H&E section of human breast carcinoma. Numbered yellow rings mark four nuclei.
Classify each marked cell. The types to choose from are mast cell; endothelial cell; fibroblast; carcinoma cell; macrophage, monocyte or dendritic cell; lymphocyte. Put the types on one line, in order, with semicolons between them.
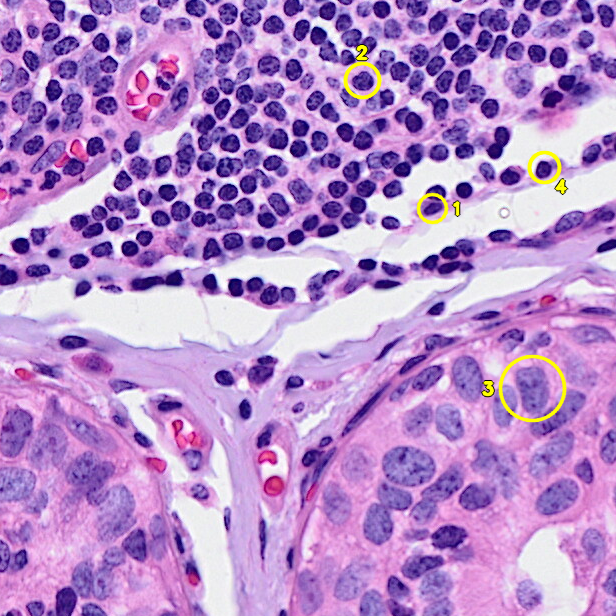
lymphocyte; lymphocyte; carcinoma cell; lymphocyte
